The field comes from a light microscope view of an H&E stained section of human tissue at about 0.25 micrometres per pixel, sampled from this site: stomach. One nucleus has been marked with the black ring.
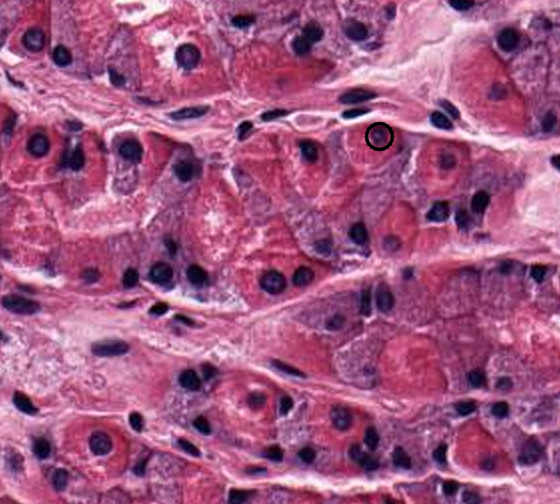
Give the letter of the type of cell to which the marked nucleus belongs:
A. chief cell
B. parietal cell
B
